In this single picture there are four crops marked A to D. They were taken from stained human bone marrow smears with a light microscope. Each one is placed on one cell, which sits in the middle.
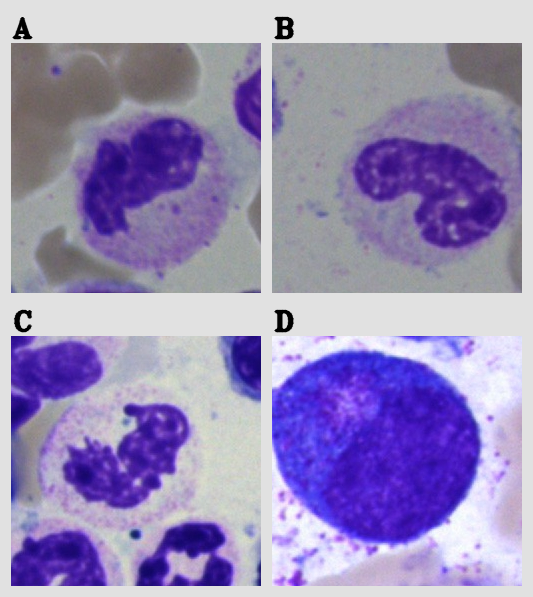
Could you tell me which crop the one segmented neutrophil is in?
C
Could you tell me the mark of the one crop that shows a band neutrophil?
B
